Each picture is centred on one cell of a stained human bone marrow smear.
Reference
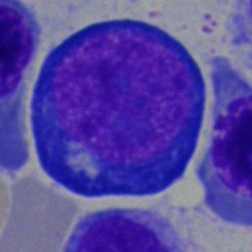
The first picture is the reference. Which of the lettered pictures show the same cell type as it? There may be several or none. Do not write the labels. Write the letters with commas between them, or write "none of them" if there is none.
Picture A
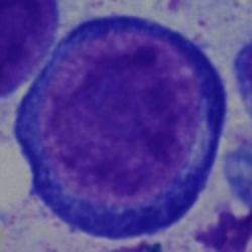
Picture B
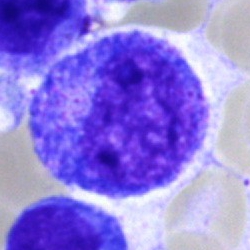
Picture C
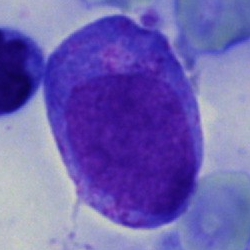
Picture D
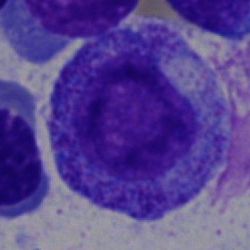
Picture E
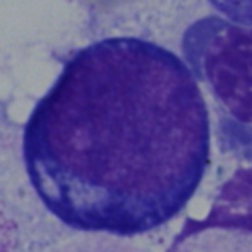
A, E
